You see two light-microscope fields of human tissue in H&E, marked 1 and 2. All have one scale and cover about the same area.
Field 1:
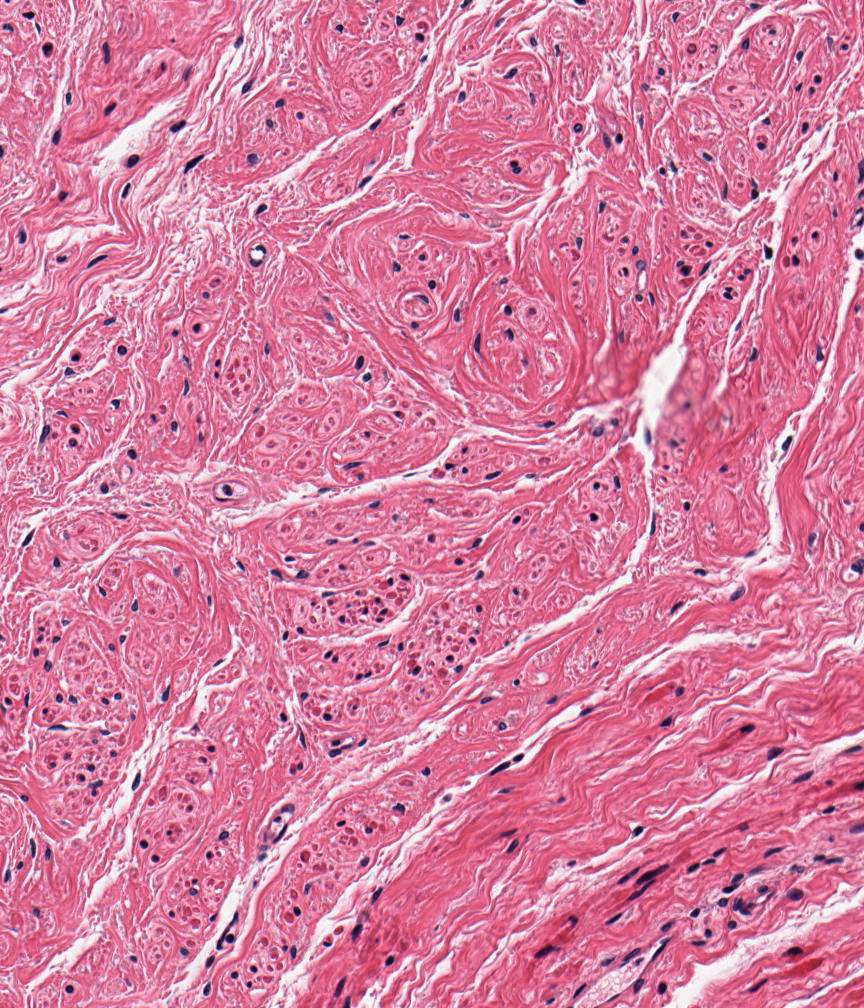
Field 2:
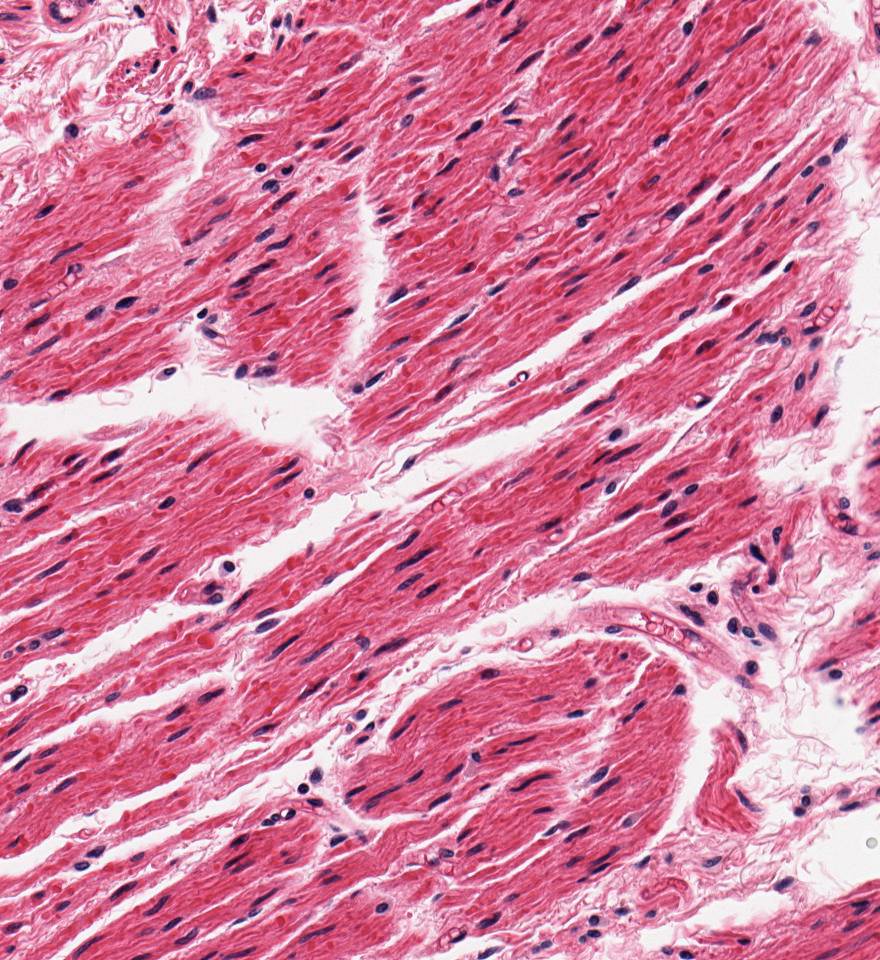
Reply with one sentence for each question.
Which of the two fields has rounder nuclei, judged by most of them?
It is field 1 whose nuclei are the rounder.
